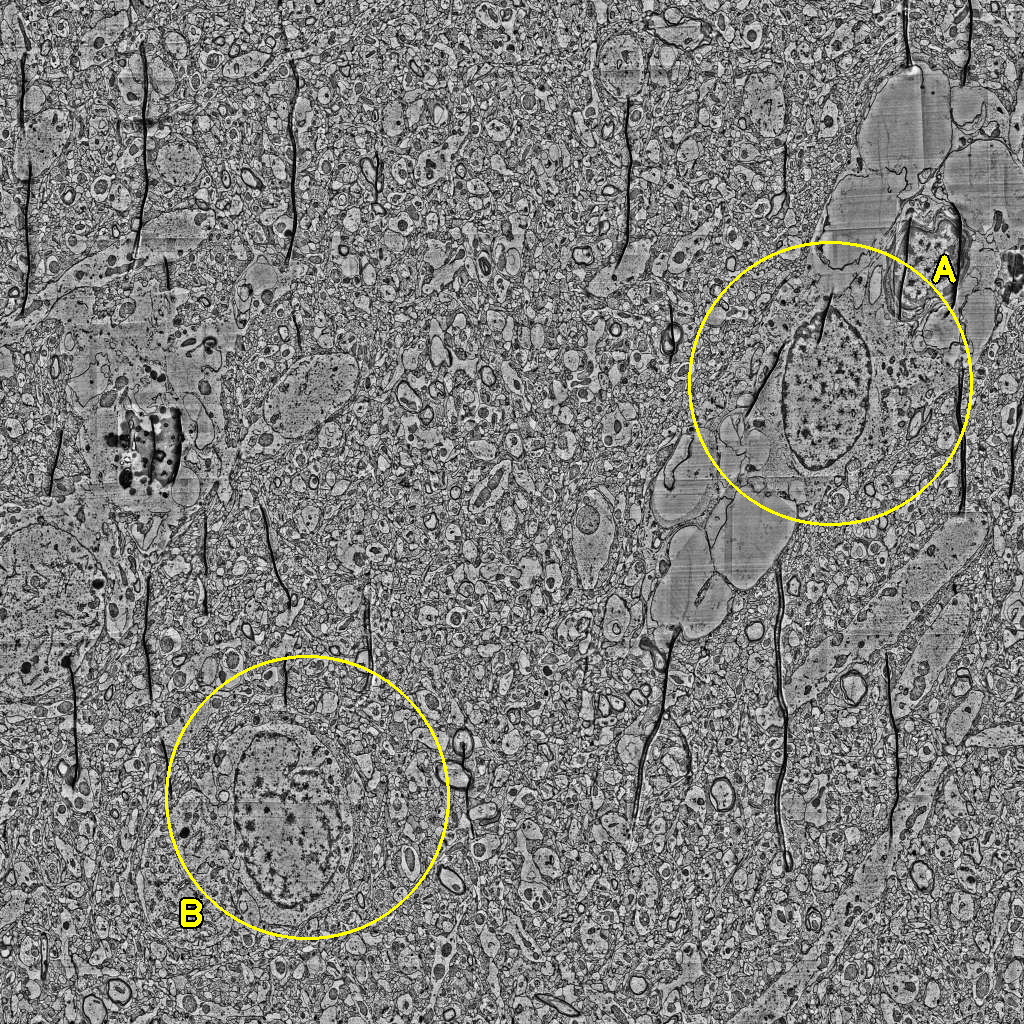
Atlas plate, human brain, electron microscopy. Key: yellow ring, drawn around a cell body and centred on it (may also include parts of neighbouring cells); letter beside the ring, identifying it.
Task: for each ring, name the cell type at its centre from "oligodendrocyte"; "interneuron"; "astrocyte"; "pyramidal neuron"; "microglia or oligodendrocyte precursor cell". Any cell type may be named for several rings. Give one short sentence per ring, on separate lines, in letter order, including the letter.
Ring A is centred over a microglial cell or oligodendrocyte precursor cell.
Ring B is centred over an interneuron.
